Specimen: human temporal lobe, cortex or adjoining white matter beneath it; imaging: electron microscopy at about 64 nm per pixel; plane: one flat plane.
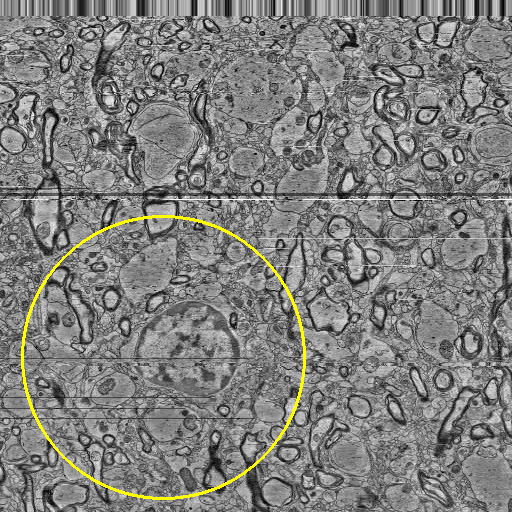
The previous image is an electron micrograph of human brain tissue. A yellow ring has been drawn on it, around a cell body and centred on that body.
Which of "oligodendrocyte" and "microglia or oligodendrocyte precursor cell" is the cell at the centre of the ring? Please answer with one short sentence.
The cell body at the centre of the ring belongs to a microglial cell or oligodendrocyte precursor cell.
